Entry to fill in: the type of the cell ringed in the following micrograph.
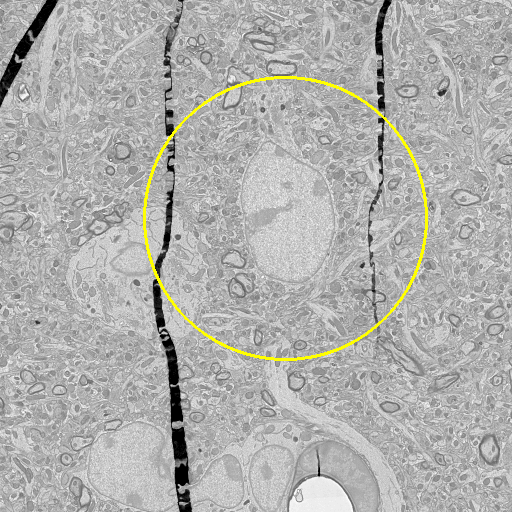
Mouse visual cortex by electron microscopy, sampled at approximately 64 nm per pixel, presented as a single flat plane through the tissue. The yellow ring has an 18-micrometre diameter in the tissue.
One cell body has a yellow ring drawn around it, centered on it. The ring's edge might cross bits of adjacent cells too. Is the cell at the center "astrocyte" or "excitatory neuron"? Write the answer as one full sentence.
This entry names an astrocyte as the cell whose body lies at the ring's center.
